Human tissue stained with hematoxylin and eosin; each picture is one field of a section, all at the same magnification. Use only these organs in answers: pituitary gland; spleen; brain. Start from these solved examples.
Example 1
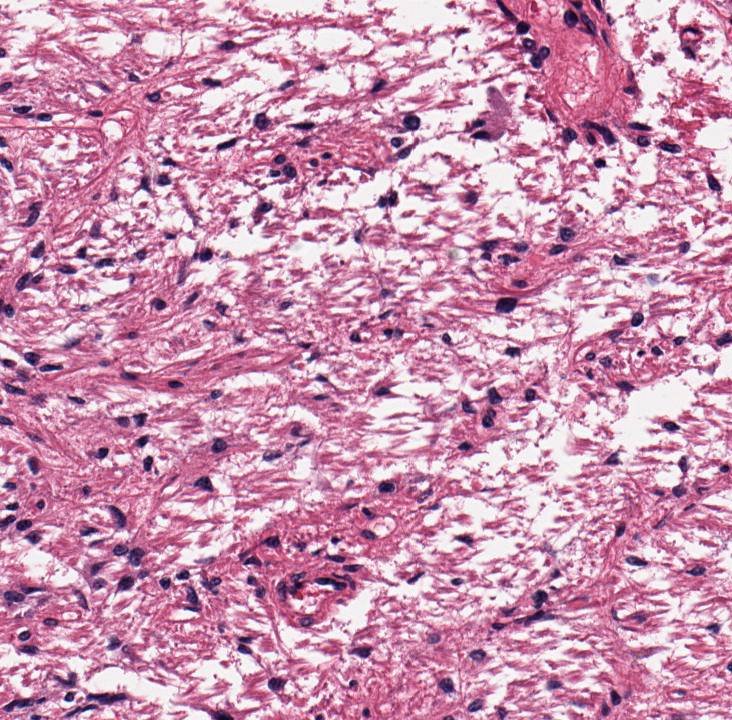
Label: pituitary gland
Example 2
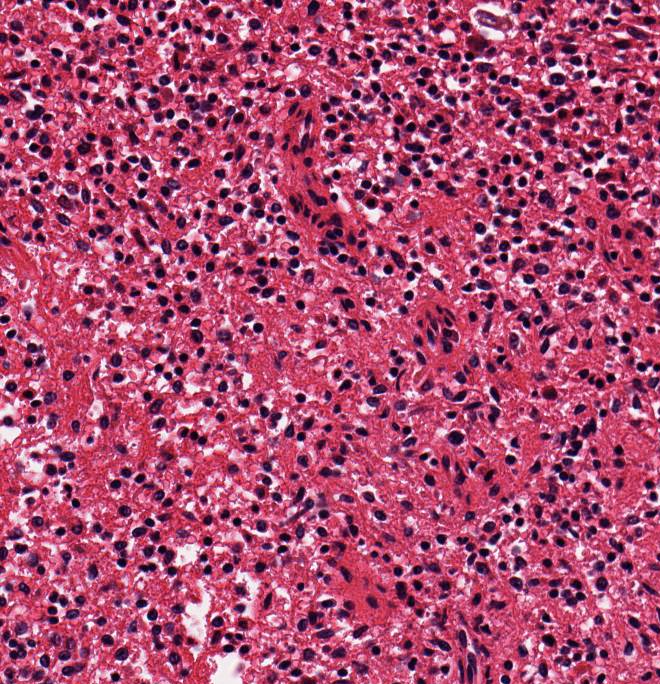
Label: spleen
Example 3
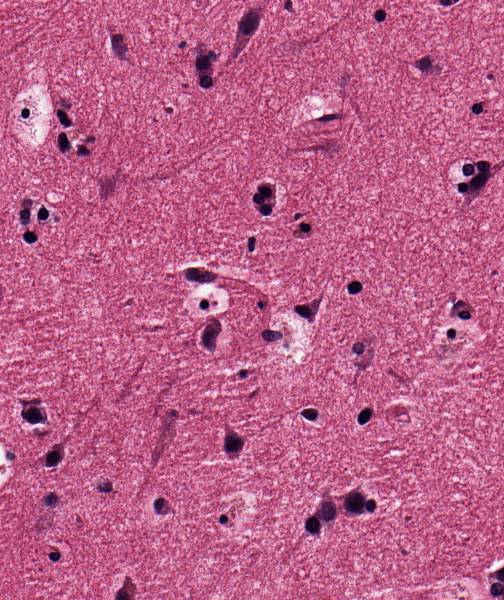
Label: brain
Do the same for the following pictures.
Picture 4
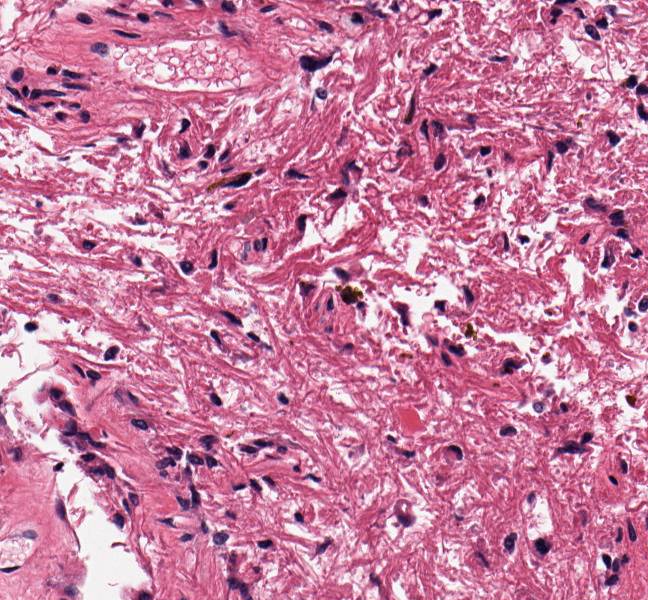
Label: pituitary gland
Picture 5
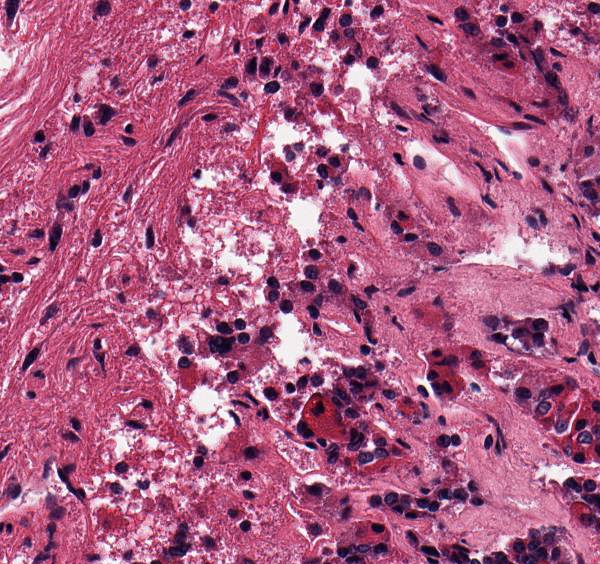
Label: pituitary gland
